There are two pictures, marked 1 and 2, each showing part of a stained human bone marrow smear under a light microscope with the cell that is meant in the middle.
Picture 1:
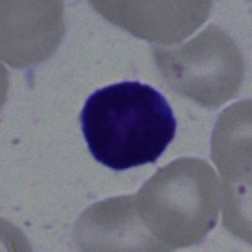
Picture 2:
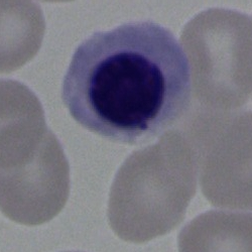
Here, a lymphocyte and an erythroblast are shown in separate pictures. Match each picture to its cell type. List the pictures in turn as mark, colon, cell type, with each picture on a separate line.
1: lymphocyte
2: erythroblast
